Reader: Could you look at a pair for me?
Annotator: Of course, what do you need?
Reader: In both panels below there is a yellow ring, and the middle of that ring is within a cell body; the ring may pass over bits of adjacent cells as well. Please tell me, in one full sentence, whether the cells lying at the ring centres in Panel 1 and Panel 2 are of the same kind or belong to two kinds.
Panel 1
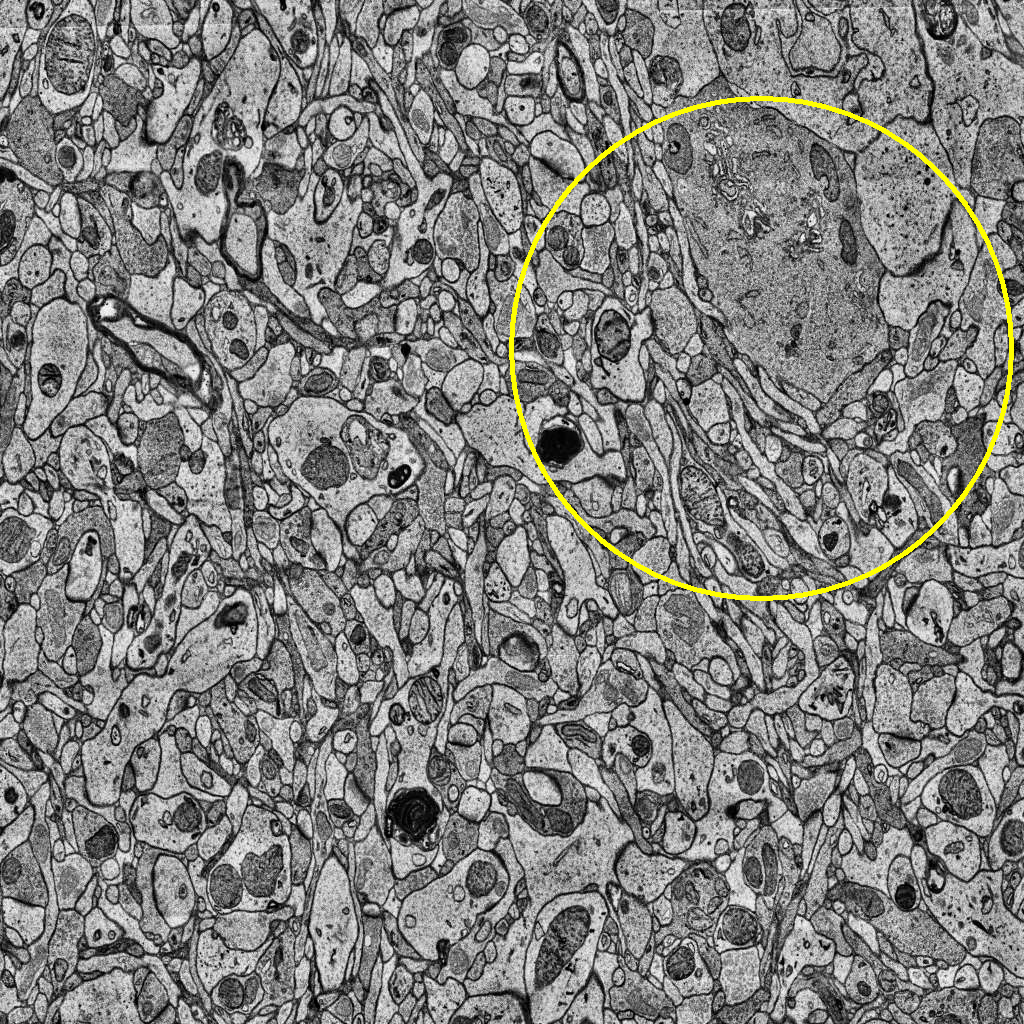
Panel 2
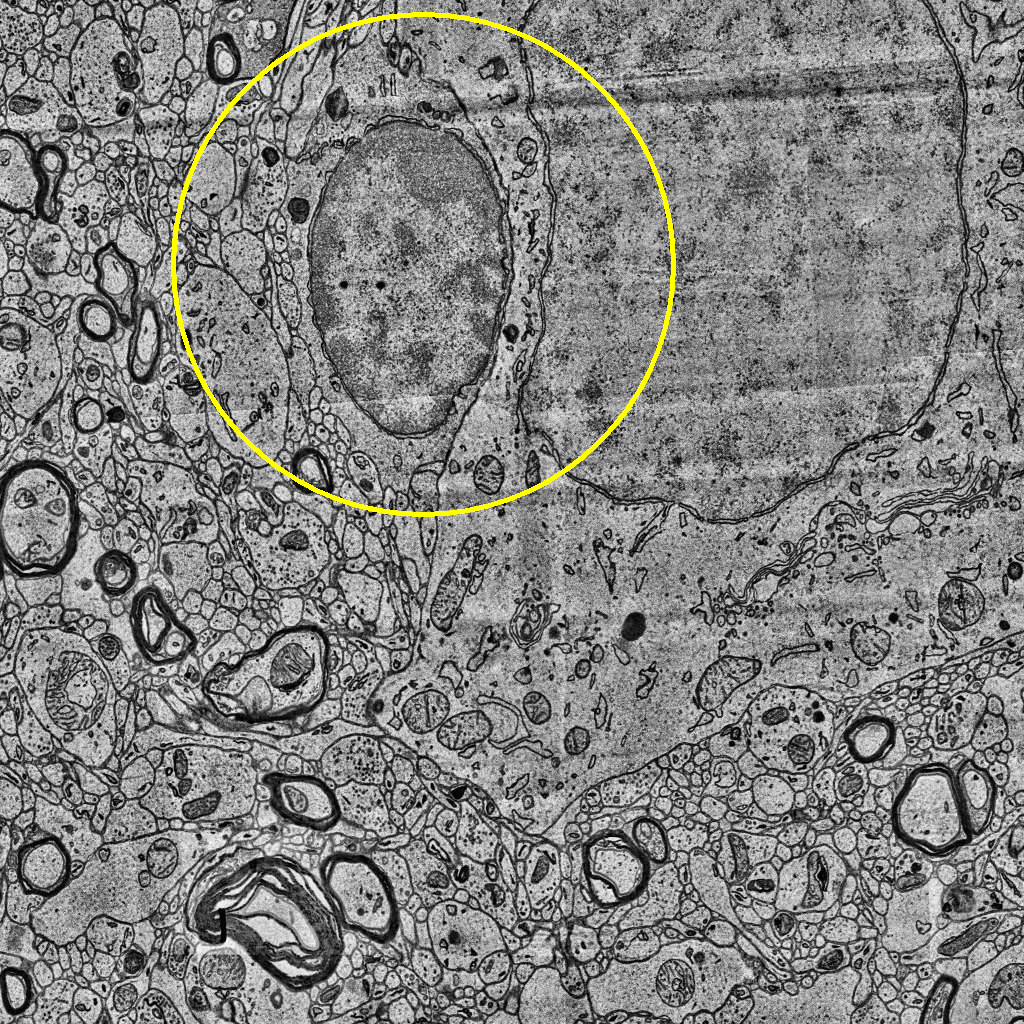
The cell at the ring's centre in Panel 1 and the one in Panel 2 are of the same kind.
